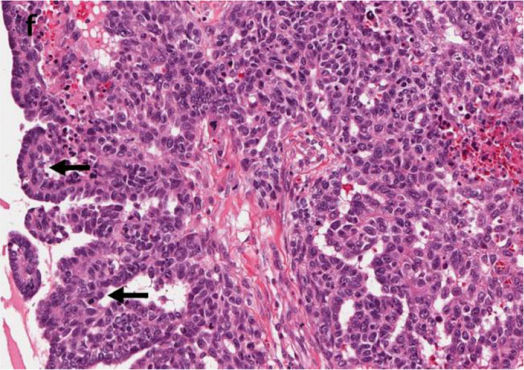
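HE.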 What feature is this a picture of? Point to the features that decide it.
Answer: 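Cells line finger-like papillae and tubular spaces.
Answer: tubulopapillary pattern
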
